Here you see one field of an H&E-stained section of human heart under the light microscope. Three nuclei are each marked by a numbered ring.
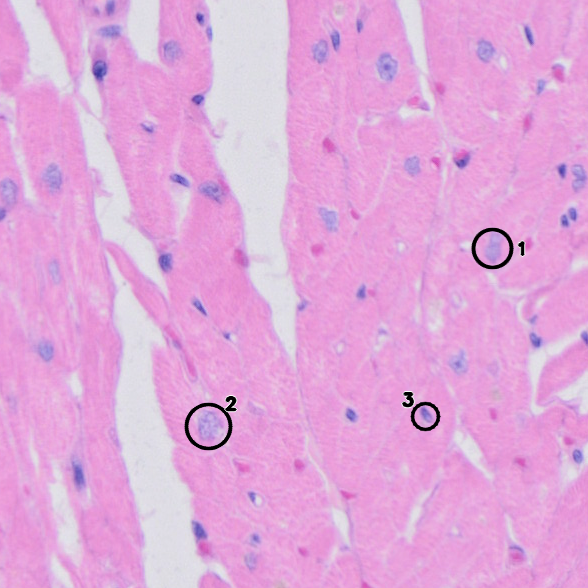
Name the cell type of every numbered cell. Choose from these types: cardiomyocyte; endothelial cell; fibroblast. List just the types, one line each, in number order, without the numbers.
cardiomyocyte
cardiomyocyte
endothelial cell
